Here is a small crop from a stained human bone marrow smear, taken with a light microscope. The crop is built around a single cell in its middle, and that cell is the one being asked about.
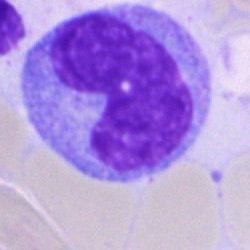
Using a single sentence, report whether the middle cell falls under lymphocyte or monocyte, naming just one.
The central cell in this smear crop is a monocyte.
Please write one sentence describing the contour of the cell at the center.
The border of this cell runs smooth and free of any projections.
